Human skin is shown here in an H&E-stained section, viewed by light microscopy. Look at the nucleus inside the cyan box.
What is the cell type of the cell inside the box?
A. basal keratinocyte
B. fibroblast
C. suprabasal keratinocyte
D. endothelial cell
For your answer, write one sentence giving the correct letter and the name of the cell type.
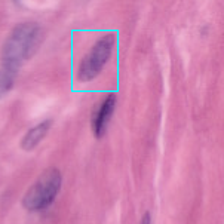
Option B is accurate, for the cell inside the box is a fibroblast.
